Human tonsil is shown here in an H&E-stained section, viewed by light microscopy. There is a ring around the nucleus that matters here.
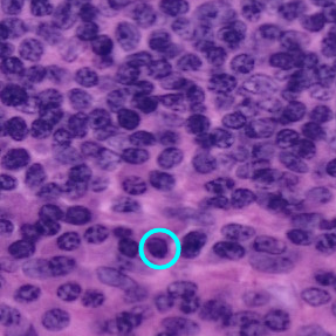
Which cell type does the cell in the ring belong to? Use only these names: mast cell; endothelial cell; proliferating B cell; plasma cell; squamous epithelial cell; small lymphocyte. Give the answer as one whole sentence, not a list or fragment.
It is a plasma cell that the cell in the ring represents.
